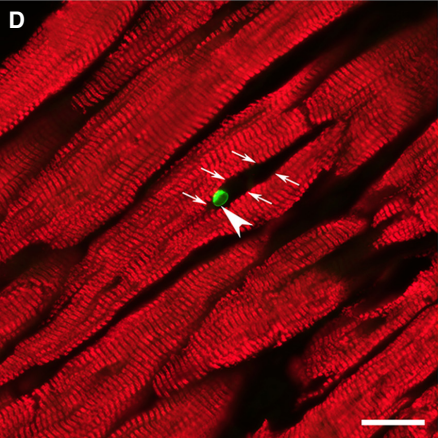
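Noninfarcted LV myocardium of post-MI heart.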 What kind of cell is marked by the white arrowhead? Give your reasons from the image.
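Noncardiac myocyte cell. The arrowhead marks a small rounded green body in a dark cleft. The marked body lies outside the red striated cells.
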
